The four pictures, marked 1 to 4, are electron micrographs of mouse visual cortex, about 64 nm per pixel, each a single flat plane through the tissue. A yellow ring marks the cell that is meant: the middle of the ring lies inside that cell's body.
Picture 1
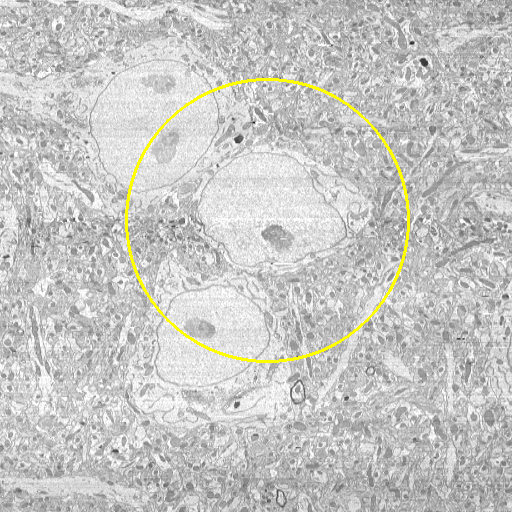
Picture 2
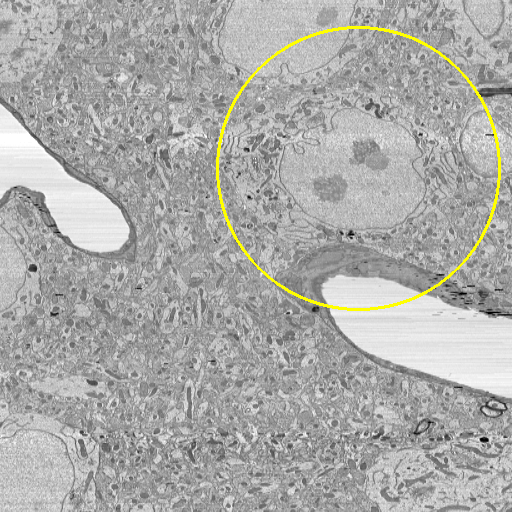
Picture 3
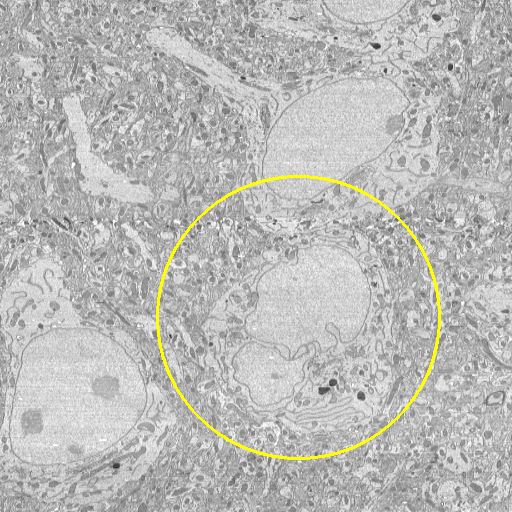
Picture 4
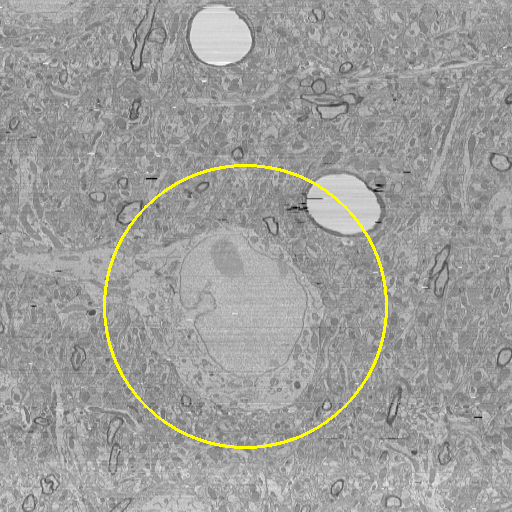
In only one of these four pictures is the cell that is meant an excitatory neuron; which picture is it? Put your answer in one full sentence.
Picture 4 is the one that shows the excitatory neuron.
